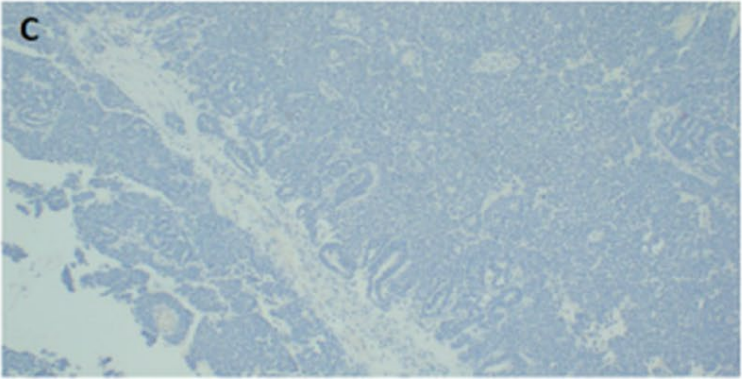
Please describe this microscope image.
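A band of loose, paler stroma runs diagonally along one side. No brown stain is seen anywhere: the tumor cells, the tubules and the stroma all show only the blue counterstain, so the tissue appears uniformly blue-grey. Small detached fragments of tumor lie at the edge of the section.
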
